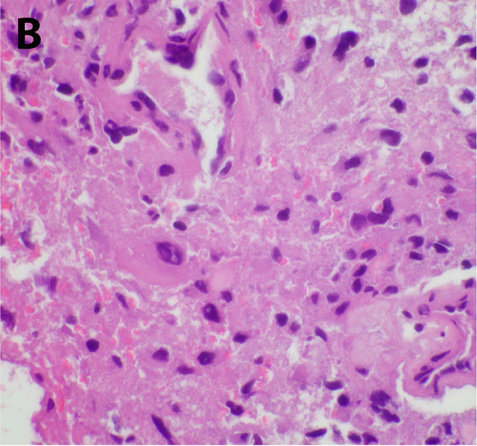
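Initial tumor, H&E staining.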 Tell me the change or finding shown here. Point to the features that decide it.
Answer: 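Scattered hyperchromatic nuclei. Some nuclei are enlarged and stain dark purple. Dark nuclei are scattered singly in a pink fibrillary background.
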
